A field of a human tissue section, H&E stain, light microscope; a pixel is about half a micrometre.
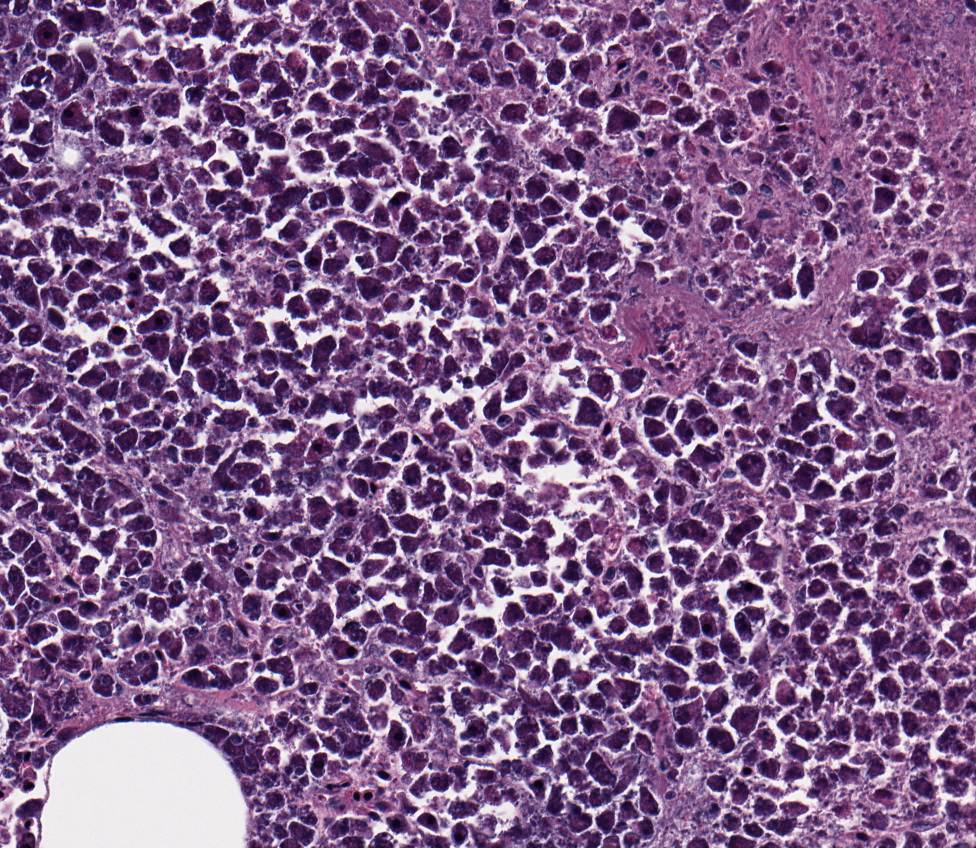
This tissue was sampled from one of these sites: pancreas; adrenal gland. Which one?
pancreas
